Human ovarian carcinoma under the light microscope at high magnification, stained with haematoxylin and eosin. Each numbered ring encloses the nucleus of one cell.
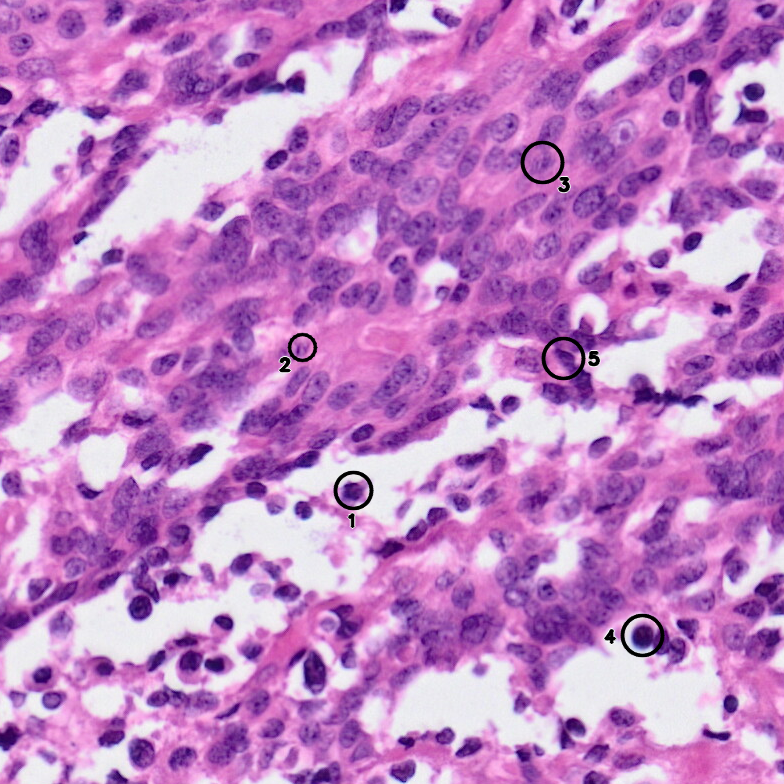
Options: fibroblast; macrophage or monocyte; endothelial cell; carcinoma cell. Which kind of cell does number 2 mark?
endothelial cell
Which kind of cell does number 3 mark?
carcinoma cell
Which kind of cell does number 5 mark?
macrophage or monocyte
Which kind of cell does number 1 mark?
carcinoma cell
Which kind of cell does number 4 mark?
carcinoma cell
